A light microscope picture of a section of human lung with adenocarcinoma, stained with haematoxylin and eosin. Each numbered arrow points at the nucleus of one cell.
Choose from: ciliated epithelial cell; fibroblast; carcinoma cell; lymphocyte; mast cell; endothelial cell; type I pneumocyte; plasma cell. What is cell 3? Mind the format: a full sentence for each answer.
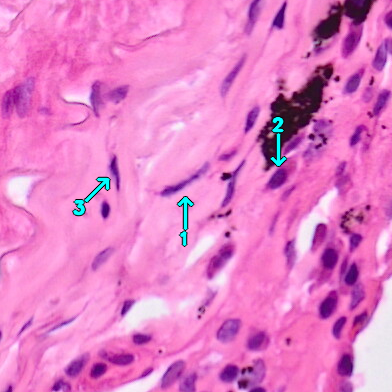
As for number 3, that cell is a fibroblast.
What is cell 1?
The cell indicated by marker 1 is a fibroblast in this section.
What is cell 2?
The cell whose nucleus carries the number 2 is a plasma cell.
